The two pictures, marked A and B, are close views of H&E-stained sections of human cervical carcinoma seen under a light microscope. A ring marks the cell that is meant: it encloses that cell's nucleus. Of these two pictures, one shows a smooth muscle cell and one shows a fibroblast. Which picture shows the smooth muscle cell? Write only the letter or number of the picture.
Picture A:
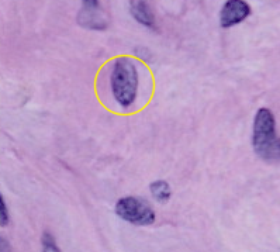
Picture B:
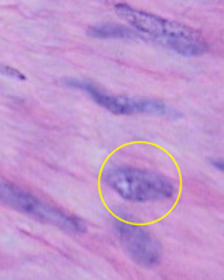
B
